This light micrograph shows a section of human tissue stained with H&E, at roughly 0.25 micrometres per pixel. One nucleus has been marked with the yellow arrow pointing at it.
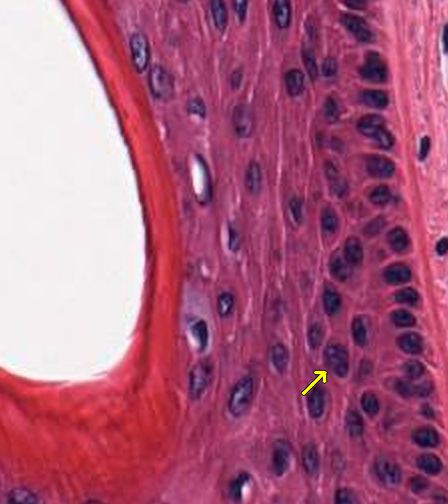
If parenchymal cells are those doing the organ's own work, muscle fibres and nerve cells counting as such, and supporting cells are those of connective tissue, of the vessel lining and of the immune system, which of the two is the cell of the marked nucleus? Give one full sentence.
The marked nucleus is identified as that of a parenchymal cell, namely a keratinocyte.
